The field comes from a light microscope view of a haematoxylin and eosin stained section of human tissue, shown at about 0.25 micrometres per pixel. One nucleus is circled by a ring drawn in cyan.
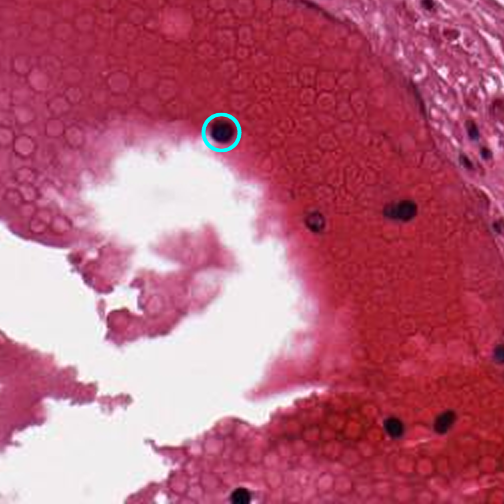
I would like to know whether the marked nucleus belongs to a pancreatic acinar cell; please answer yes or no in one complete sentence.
No, the owner of the marked nucleus is a supporting cell, not a pancreatic acinar cell.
